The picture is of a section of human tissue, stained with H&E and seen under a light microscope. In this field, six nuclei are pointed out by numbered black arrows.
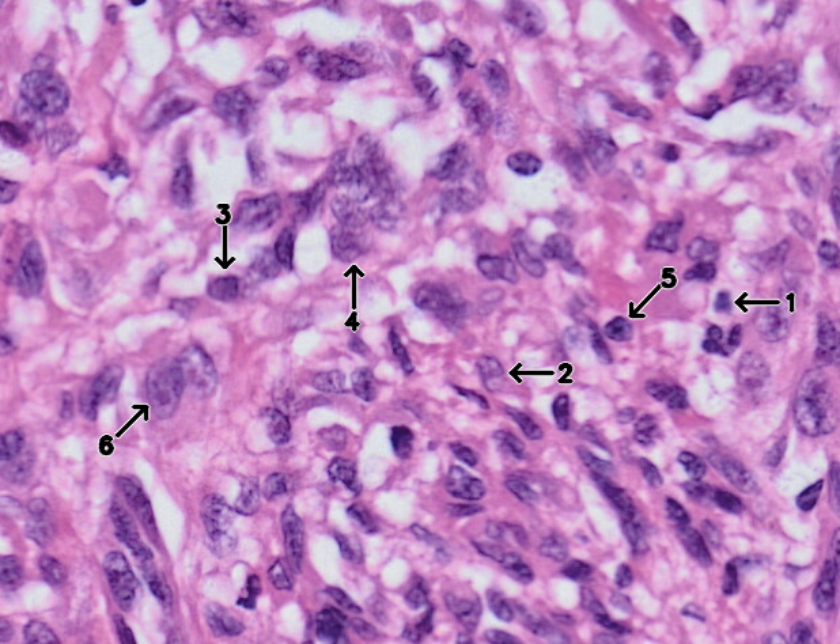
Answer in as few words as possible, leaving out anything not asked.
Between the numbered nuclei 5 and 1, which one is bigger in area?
5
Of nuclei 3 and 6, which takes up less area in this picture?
3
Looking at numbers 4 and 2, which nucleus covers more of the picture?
4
